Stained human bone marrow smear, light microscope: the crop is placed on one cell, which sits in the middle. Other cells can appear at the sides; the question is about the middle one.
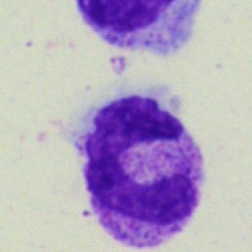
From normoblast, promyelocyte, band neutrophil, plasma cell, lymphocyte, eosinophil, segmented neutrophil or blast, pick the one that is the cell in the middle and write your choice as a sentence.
The target cell in the middle of the crop is a band neutrophil.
